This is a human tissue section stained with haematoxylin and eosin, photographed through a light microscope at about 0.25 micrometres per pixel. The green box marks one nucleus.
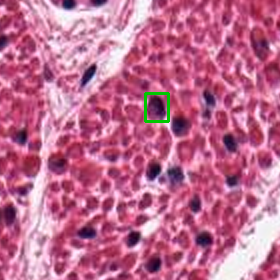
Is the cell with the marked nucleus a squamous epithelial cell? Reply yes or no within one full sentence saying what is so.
No, that marked nucleus is not part of a squamous epithelial cell.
